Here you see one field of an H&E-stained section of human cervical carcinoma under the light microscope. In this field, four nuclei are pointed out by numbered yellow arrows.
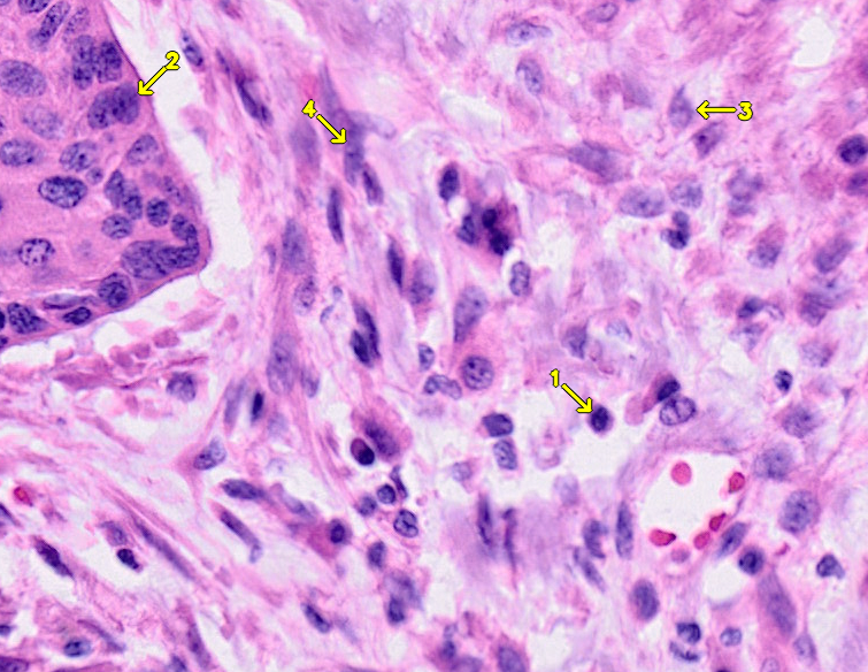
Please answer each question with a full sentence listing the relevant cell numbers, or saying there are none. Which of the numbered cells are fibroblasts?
The cells 3 and 4 in this section are fibroblasts.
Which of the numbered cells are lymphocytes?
Cell 1 is a lymphocyte, while all remaining marked cells are of other types.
